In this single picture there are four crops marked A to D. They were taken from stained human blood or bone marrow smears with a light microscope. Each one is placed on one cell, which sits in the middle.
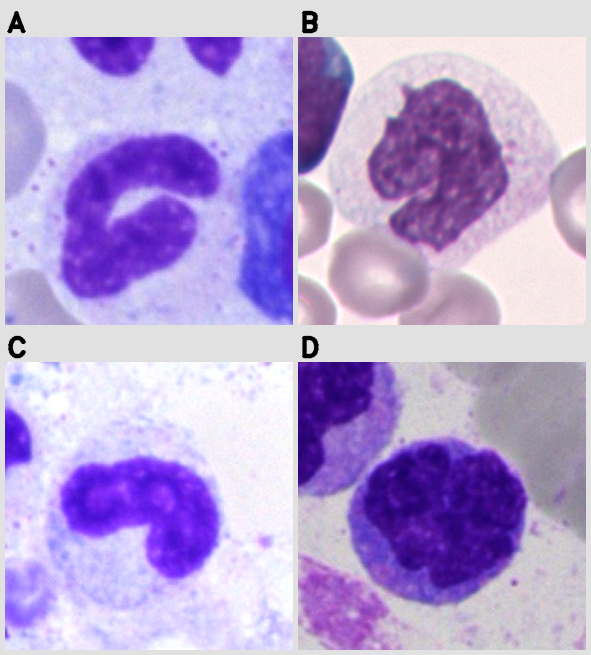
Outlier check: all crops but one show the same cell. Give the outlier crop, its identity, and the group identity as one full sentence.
Among these crops, band neutrophils occur in all but crop D, which contains a monocyte.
